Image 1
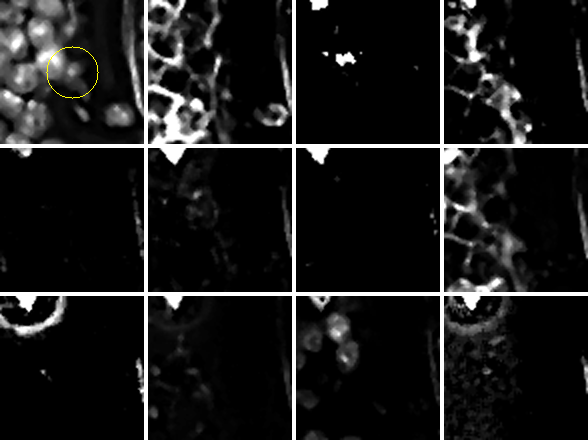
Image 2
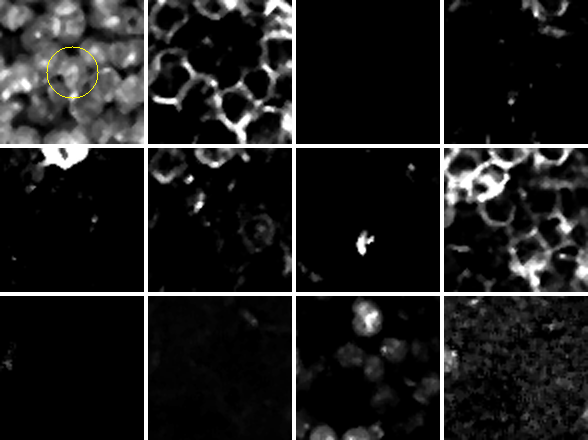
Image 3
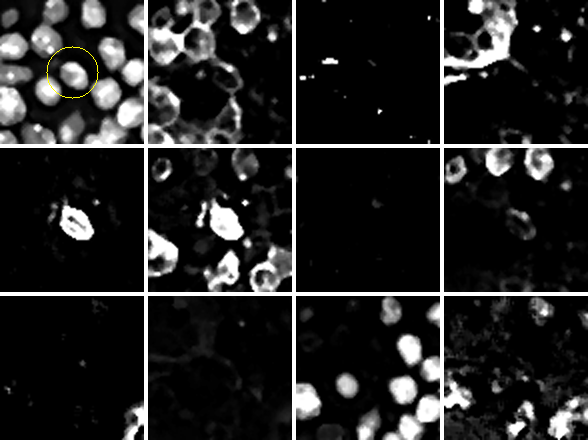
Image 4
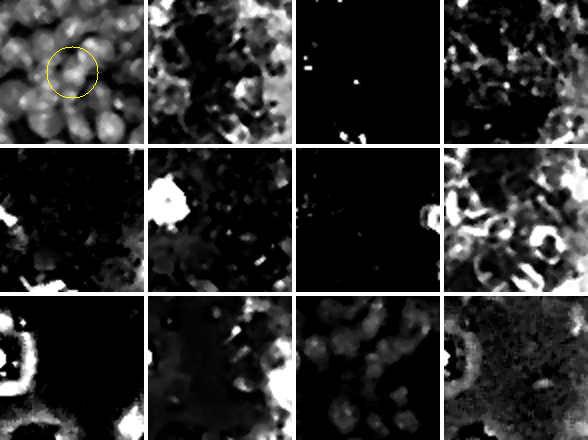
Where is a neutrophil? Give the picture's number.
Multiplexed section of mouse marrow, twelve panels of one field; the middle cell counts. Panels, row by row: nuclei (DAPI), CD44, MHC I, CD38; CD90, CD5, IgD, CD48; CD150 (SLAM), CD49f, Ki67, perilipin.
1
